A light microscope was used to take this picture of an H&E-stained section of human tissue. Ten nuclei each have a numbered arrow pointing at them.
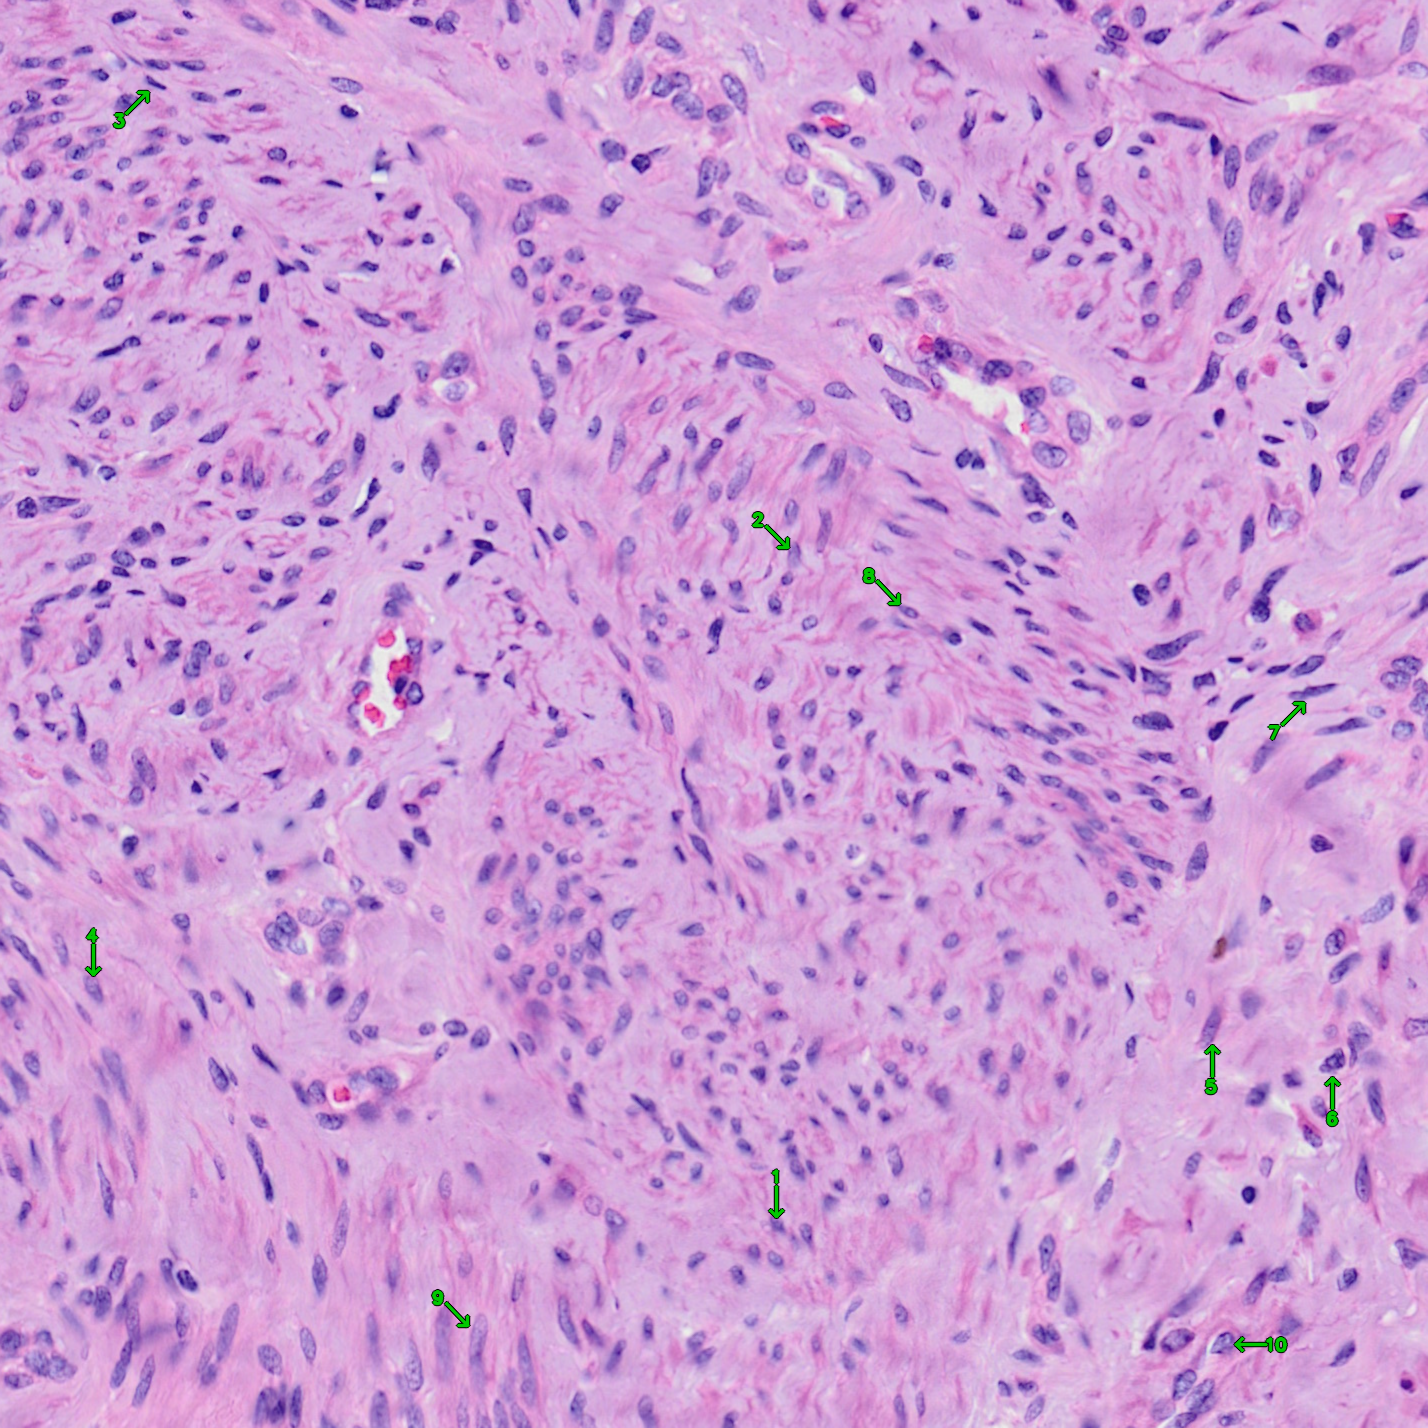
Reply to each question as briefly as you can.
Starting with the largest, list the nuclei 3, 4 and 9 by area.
9, 4, 3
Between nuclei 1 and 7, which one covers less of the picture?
1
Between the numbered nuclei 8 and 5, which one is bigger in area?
5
